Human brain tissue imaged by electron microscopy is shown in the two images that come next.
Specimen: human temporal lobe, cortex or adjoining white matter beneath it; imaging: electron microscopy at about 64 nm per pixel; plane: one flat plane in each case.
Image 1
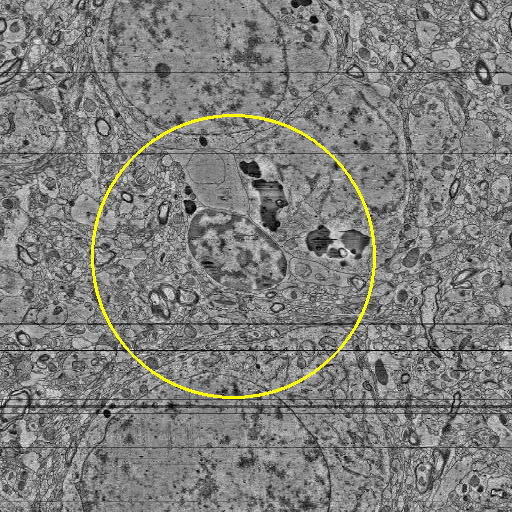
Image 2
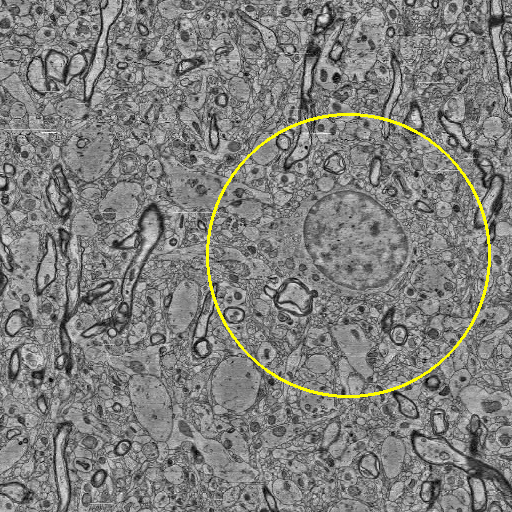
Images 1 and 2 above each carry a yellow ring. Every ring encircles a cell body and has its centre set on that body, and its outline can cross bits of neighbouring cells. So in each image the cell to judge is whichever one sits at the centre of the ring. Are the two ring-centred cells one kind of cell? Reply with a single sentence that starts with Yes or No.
No, in Image 1 and Image 2 the cells at the centres of their rings fall into two types.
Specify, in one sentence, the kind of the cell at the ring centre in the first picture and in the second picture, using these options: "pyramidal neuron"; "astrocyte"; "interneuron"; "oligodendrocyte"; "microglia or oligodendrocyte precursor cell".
So the first is a microglial cell or oligodendrocyte precursor cell, the second an oligodendrocyte.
